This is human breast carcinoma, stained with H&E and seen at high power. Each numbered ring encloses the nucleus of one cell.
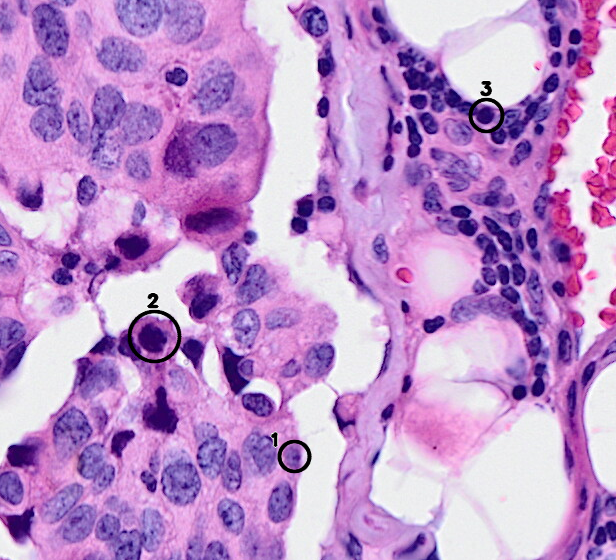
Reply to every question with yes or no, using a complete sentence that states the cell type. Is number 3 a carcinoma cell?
No, cell 3 does not count as a carcinoma cell; it is a lymphocyte.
